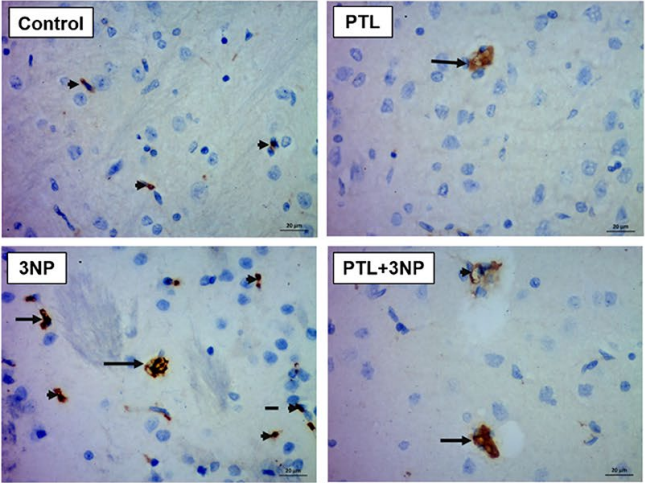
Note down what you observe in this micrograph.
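Four fields of brain tissue show a pale neuropil scattered with round to oval blue-counterstained nuclei. A few cells carry brown cytoplasmic staining: some are larger cells with a rim of brown cytoplasm around the nucleus, others are small, elongated, dark cells with only a thin brown cap. In one field the brown-stained cells are more numerous, and in another field pale cleared spaces surround the stained larger cells. Fine bundles of faintly streaked fibres cross parts of the neuropil.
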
